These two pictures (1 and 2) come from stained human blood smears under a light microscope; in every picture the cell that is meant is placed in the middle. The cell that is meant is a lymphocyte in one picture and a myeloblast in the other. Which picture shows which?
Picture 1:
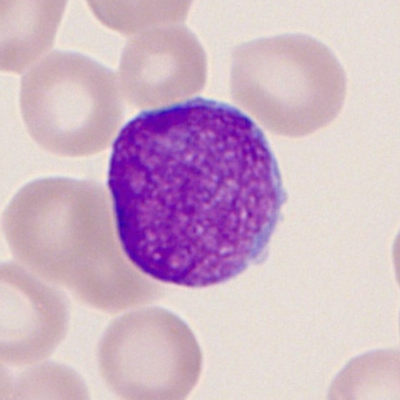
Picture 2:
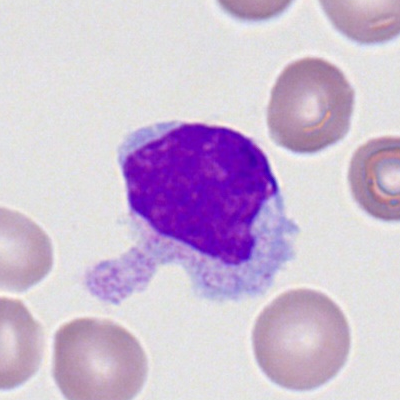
1: myeloblast
2: lymphocyte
